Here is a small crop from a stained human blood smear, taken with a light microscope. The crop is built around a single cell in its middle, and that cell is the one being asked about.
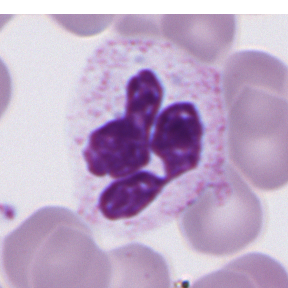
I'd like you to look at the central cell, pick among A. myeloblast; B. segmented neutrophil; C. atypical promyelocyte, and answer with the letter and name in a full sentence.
The one cell at the centre is a segmented neutrophil, as correctly stated in option B.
